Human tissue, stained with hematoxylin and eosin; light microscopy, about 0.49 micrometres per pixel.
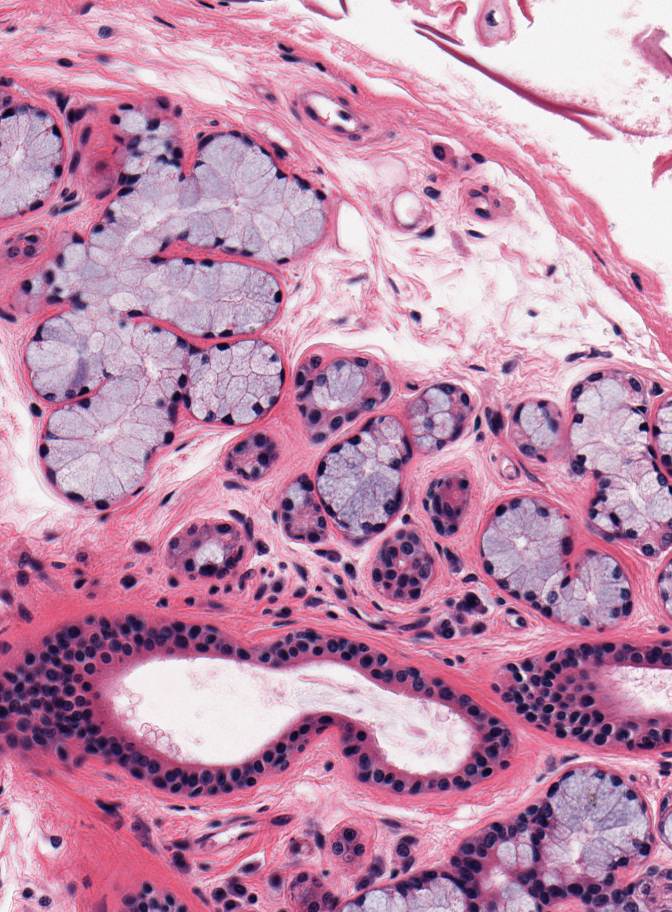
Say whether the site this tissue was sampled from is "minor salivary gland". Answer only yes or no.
yes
